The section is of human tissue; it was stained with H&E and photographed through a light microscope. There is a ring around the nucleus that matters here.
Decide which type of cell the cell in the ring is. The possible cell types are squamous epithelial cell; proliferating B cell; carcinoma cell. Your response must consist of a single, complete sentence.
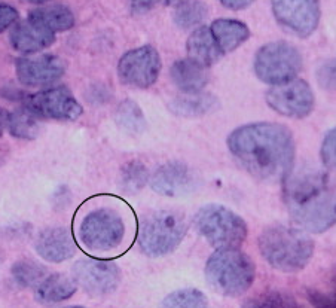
In the context of this tissue, the cell in the ring is a carcinoma cell.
